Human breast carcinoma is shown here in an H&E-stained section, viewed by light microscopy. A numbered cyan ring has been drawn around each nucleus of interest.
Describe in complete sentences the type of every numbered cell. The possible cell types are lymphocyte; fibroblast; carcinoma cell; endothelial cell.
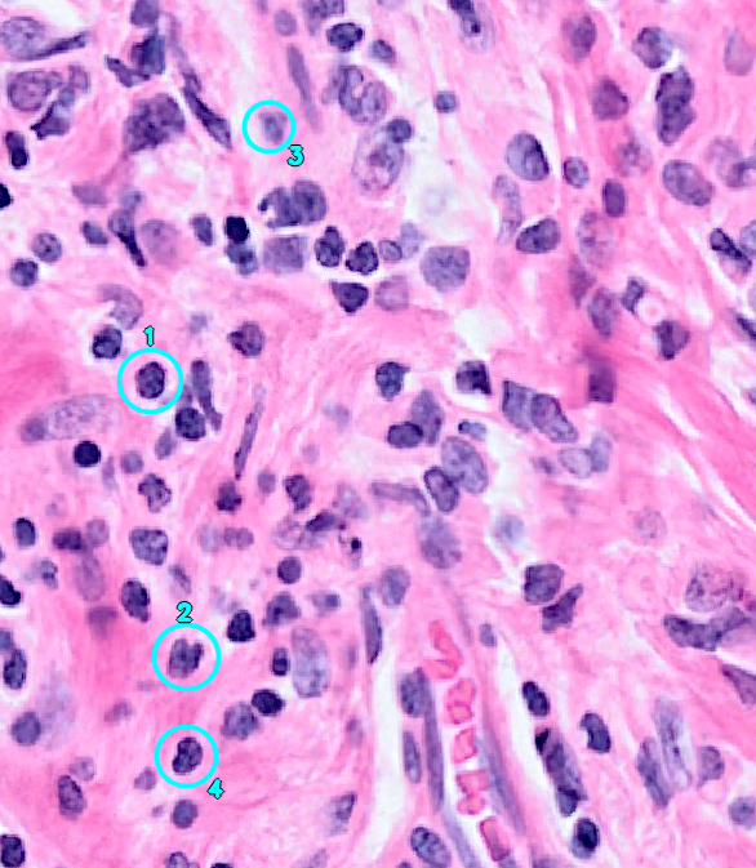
Cell 1 is a lymphocyte, cell 2 is a lymphocyte, cell 3 is an endothelial cell and cell 4 is a lymphocyte.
